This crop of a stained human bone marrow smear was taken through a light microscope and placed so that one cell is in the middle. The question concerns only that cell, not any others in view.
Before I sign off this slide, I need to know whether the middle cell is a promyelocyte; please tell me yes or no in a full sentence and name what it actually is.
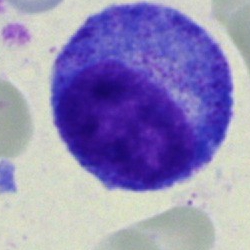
Yes, the cell at the very centre of the crop is a promyelocyte.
